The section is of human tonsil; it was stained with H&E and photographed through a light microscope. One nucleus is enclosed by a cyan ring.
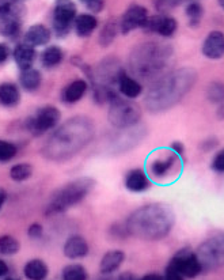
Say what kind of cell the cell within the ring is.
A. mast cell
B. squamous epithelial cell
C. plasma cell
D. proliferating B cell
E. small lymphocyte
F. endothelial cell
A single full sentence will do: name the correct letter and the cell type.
According to option F, the cell within the ring is an endothelial cell, and this is correct.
